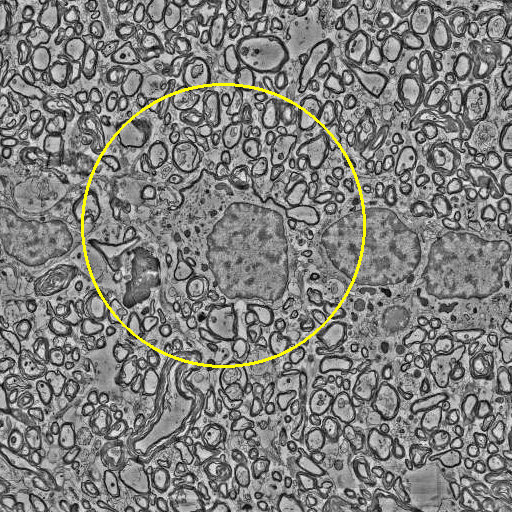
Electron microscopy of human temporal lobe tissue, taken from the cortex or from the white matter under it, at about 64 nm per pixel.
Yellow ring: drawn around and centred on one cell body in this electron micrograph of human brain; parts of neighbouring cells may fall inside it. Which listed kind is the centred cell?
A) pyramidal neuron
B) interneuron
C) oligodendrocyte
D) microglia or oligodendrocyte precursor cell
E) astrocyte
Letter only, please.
C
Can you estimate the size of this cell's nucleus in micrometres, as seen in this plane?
About 7 micrometres by about 6 micrometres in this plane.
